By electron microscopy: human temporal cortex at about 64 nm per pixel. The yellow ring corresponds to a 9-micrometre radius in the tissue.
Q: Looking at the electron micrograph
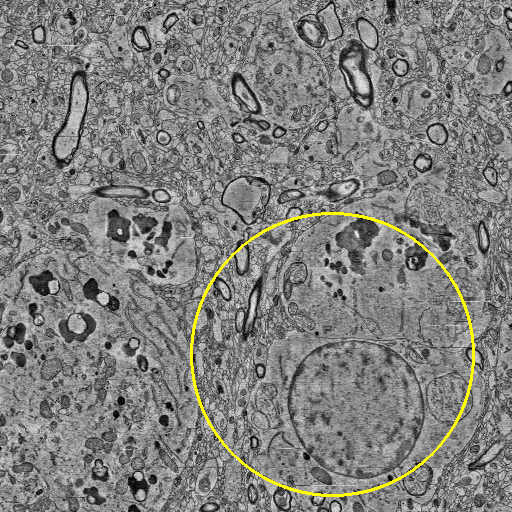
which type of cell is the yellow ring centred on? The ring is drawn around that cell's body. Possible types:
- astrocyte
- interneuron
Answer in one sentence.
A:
The yellow ring is centred on an astrocyte.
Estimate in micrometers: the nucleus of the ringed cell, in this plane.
In this plane, the nucleus of the cell at the centre of the ring is about 9 micrometres across.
